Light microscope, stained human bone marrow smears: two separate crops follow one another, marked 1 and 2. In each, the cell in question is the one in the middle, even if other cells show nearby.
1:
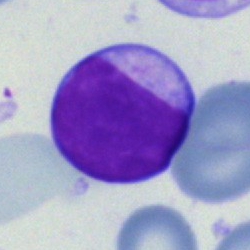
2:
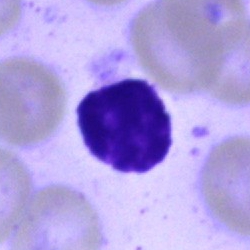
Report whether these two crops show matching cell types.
yes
